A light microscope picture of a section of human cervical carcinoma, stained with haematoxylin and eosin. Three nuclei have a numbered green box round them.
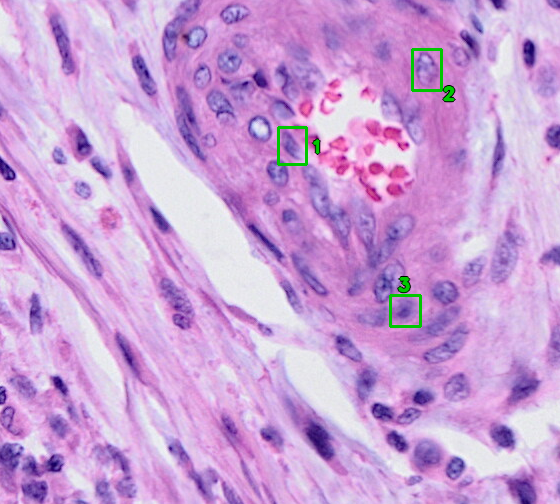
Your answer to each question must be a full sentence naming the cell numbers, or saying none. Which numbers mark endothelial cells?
No marked cell except number 1 is an endothelial cell.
